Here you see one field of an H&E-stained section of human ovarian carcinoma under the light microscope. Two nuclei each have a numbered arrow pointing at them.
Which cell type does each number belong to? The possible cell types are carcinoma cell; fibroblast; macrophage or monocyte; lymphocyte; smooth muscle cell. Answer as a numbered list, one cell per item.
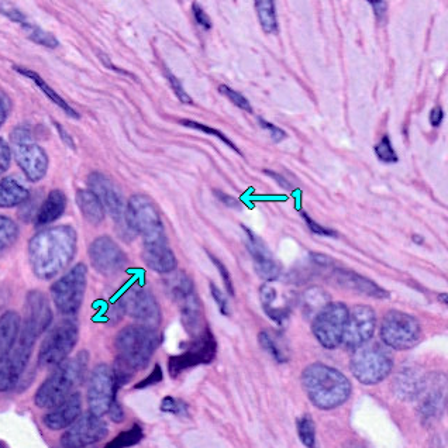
1. fibroblast
2. carcinoma cell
